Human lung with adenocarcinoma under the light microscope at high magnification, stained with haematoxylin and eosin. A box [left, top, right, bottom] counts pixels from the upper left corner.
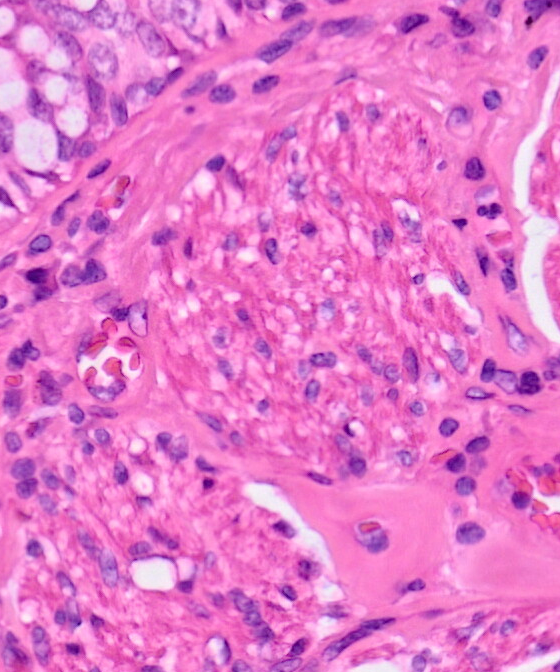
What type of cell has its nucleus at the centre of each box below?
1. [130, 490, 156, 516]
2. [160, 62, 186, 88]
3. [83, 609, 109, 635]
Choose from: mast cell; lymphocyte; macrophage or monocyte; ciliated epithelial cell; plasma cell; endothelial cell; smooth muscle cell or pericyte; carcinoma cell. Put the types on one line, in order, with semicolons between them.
smooth muscle cell or pericyte; ciliated epithelial cell; smooth muscle cell or pericyte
